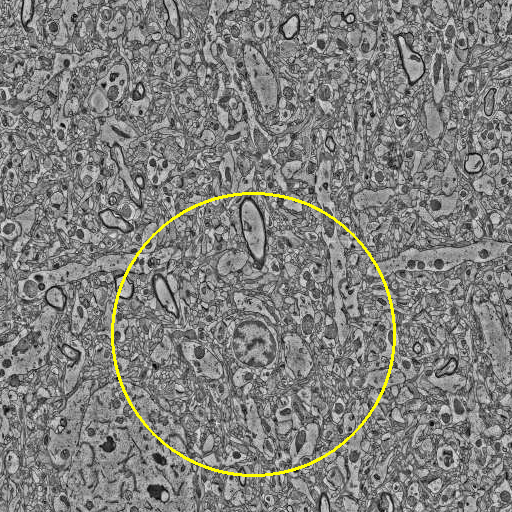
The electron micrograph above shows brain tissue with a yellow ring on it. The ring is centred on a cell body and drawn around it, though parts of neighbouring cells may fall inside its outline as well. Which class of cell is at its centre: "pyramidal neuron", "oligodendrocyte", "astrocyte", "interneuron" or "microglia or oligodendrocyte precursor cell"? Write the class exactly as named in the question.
microglia or oligodendrocyte precursor cell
